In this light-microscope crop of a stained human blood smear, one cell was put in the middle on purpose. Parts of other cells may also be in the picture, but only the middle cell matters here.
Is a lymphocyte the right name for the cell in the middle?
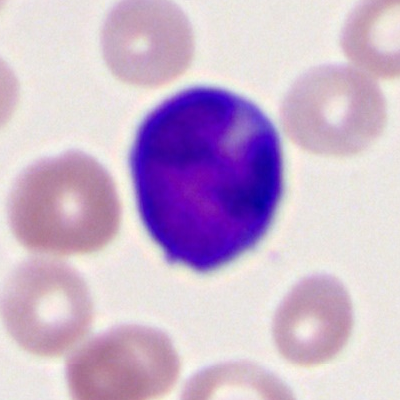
no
